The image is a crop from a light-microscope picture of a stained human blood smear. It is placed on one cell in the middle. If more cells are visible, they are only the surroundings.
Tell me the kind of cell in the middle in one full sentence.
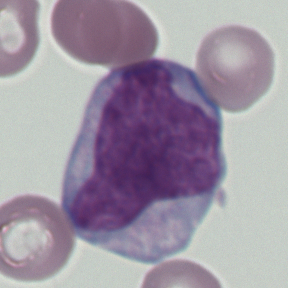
In the crop, the cell of interest at the centre is an atypical promyelocyte.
